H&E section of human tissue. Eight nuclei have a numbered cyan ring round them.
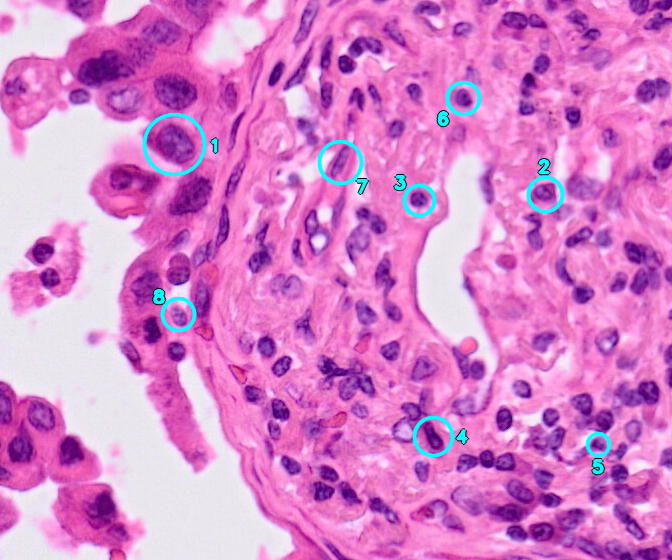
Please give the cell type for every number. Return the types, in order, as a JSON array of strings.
["carcinoma cell", "plasma cell", "lymphocyte", "plasma cell", "lymphocyte", "lymphocyte", "endothelial cell", "lymphocyte"]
